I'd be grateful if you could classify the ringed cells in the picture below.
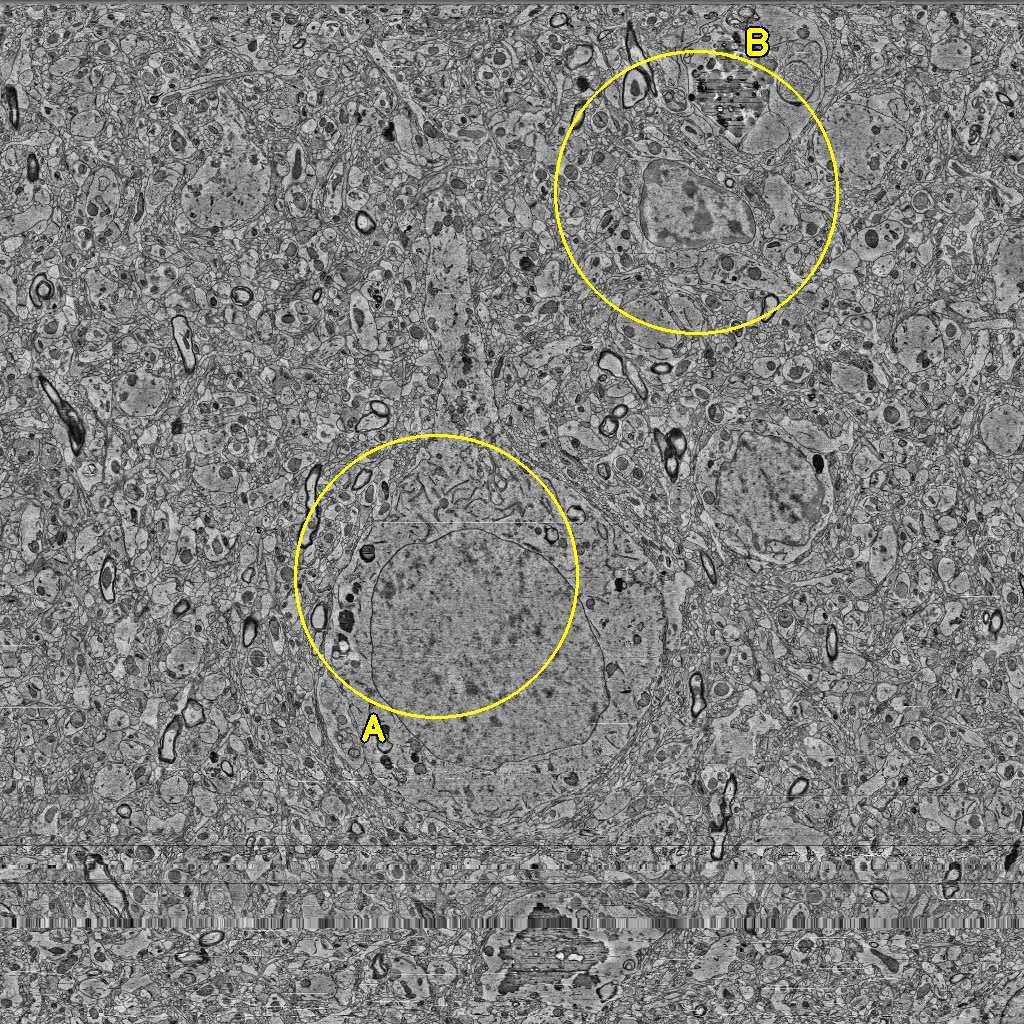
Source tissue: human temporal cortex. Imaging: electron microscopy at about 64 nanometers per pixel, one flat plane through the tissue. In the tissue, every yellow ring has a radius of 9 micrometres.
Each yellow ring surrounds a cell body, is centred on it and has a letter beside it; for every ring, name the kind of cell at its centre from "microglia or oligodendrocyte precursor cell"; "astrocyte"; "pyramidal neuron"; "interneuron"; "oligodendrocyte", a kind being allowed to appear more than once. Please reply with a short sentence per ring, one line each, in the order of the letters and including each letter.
In ring A we have a pyramidal neuron.
In ring B we have a microglial cell or oligodendrocyte precursor cell.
